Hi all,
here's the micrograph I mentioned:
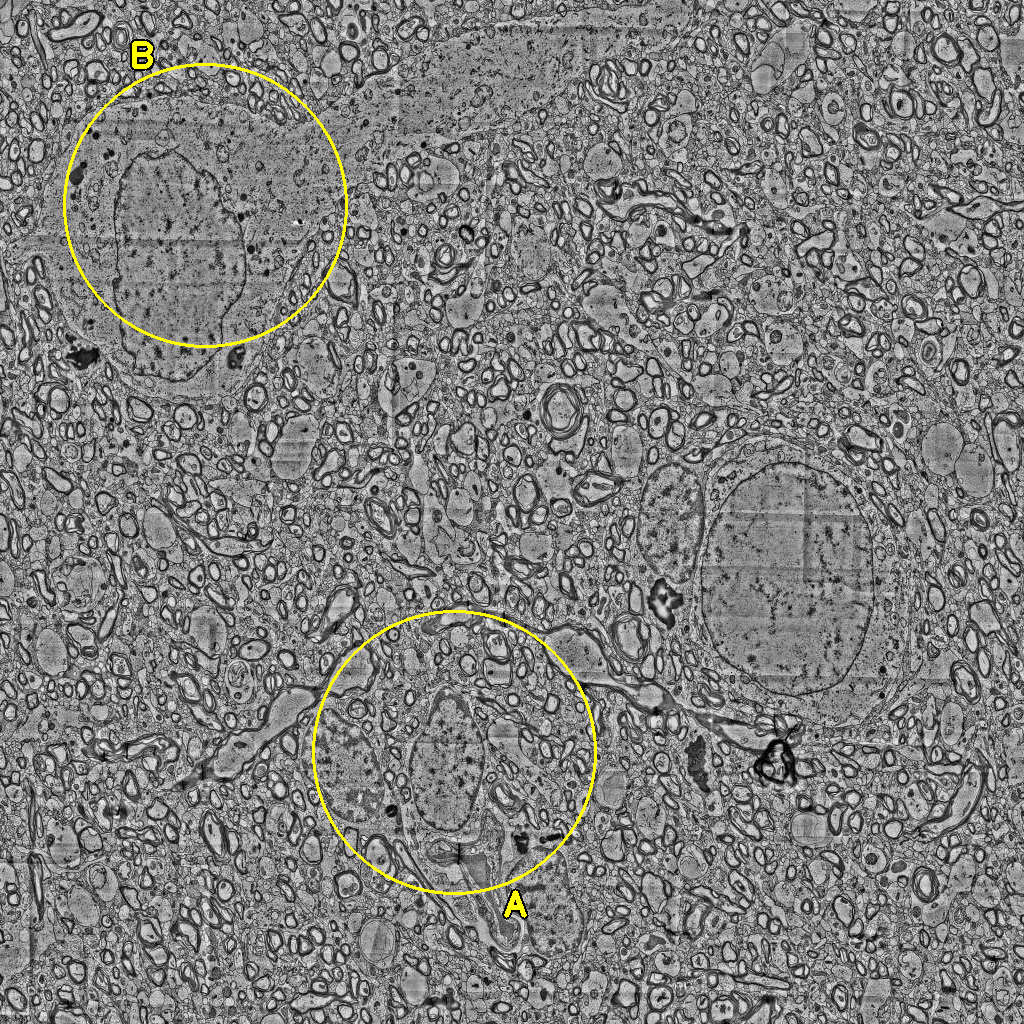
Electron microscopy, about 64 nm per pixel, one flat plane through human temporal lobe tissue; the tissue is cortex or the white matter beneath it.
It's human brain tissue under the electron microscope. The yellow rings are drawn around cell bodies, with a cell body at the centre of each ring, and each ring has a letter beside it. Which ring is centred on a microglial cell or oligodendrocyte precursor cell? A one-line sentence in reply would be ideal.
It's the one labelled A.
